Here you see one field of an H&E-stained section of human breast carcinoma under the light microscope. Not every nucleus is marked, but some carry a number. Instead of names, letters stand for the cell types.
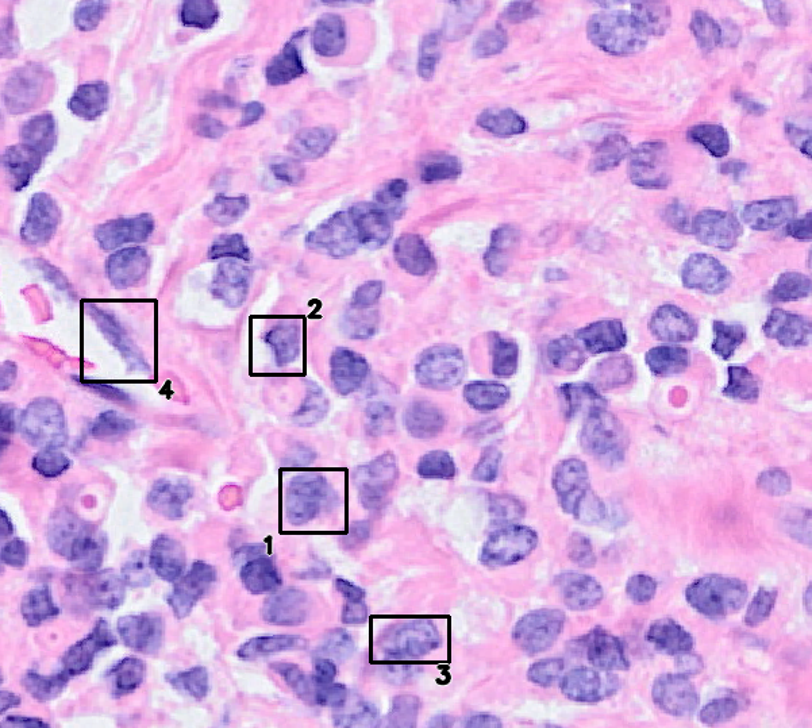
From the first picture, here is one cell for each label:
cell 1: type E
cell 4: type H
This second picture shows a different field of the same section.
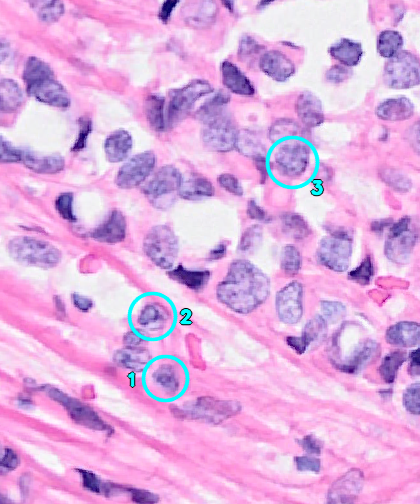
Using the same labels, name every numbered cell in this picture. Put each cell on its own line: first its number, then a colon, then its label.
1: type H
2: type H
3: type E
